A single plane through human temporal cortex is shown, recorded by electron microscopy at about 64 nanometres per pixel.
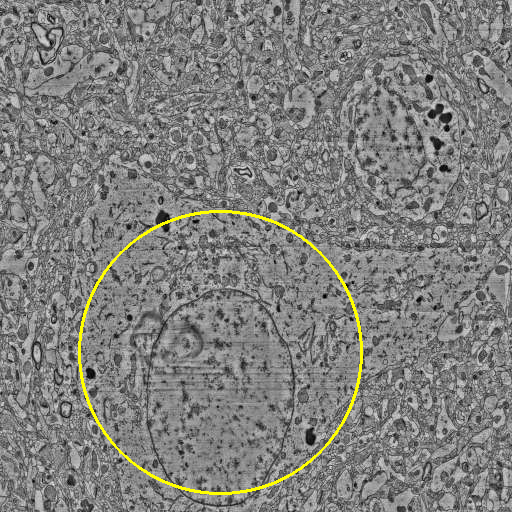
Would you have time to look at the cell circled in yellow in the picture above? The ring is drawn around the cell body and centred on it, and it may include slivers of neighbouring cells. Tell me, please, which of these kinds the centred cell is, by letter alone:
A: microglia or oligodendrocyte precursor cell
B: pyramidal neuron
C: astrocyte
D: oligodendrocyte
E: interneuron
B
